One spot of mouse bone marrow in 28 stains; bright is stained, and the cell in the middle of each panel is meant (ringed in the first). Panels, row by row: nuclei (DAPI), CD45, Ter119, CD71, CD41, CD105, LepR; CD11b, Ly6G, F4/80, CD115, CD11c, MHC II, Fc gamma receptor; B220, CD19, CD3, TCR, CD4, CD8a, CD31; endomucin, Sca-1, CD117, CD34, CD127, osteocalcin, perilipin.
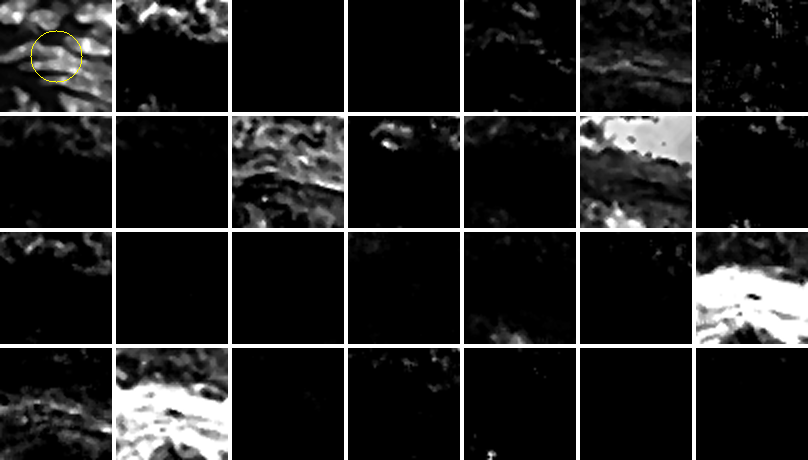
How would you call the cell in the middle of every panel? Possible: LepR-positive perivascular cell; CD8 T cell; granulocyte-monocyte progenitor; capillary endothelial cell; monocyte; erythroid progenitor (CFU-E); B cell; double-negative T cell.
I would call it a capillary endothelial cell.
